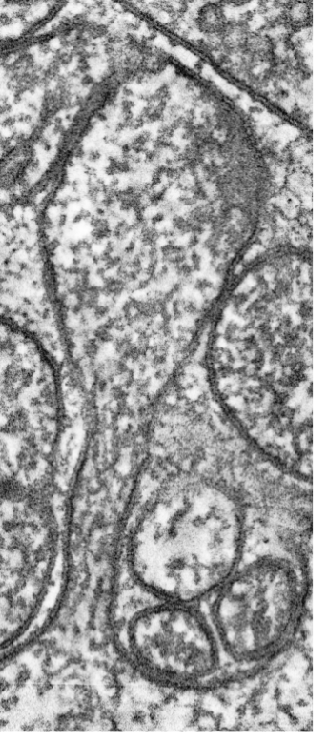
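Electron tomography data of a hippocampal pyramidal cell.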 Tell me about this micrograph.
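Follow the dark double-lined membrane that outlines the spine: a narrow stalk runs up the middle of the field and widens into a broader, rounded head toward the top. Around the spine lie other membrane-bounded profiles, including rounded compartments at the lower right, each with the same mottled contents.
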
